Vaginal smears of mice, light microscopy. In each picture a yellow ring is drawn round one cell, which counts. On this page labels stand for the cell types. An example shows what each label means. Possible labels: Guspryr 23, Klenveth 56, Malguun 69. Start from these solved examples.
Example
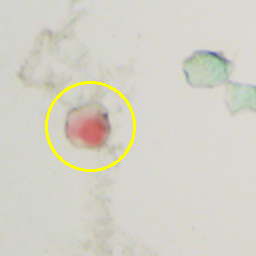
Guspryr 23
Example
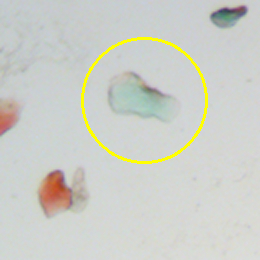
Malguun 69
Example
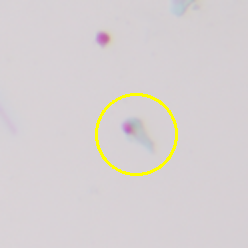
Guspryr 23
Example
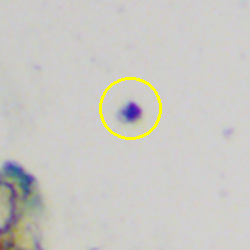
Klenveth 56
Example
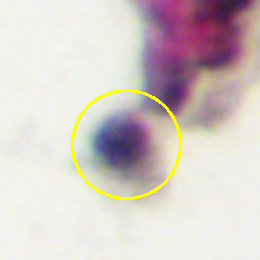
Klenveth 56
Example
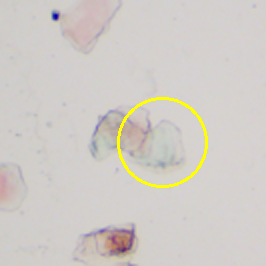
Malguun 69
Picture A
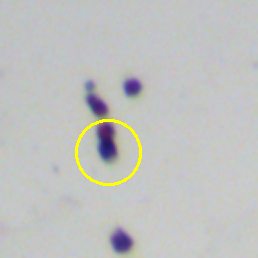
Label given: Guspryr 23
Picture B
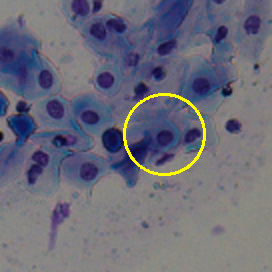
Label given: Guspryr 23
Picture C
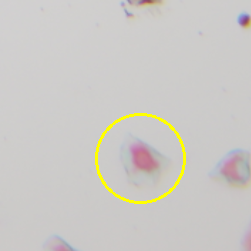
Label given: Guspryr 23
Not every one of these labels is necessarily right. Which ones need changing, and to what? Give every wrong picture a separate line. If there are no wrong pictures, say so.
Wrong: A (Guspryr 23); correct: Klenveth 56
